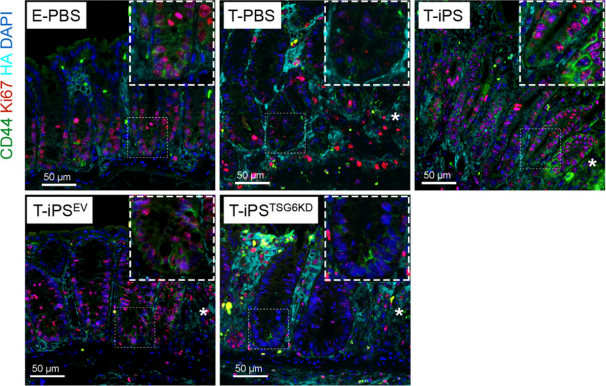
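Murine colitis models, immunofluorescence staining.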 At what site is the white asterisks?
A: Ulcer margins.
